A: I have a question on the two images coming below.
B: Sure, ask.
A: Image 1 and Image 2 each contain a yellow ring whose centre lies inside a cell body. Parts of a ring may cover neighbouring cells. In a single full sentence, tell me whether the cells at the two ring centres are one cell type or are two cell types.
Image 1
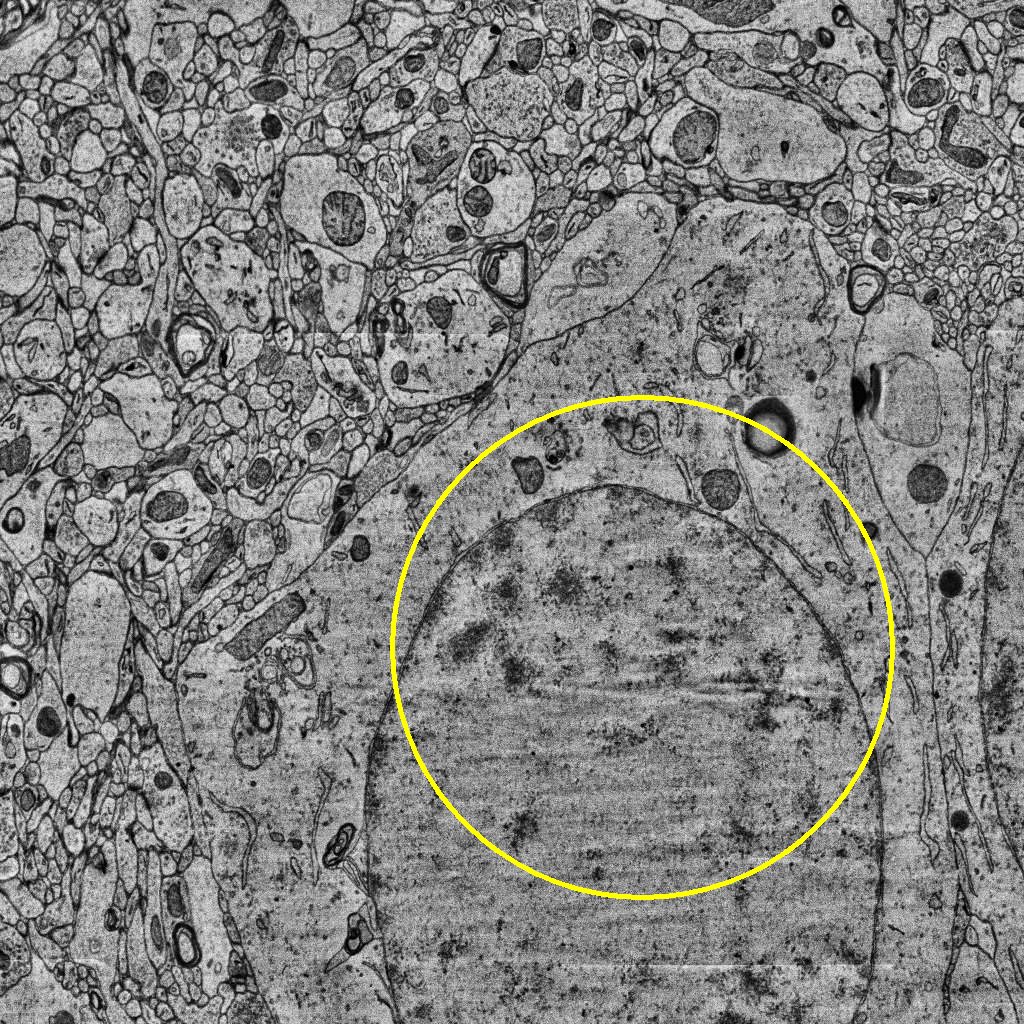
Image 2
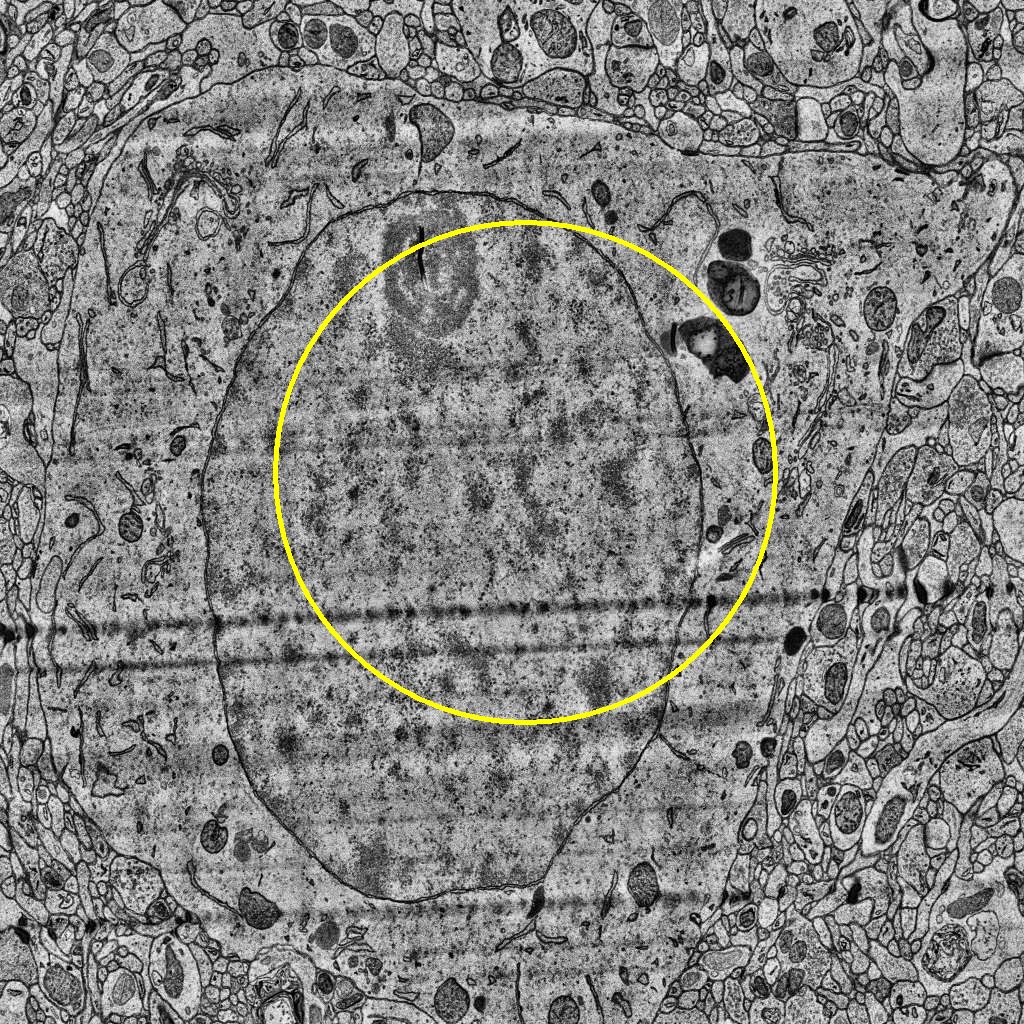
As for the ring-centre cells, the one in Image 1 and the one in Image 2 are one cell type.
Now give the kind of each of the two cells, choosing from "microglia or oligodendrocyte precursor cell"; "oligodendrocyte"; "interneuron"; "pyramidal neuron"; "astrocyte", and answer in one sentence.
Both rings mark a pyramidal neuron, one in each picture.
